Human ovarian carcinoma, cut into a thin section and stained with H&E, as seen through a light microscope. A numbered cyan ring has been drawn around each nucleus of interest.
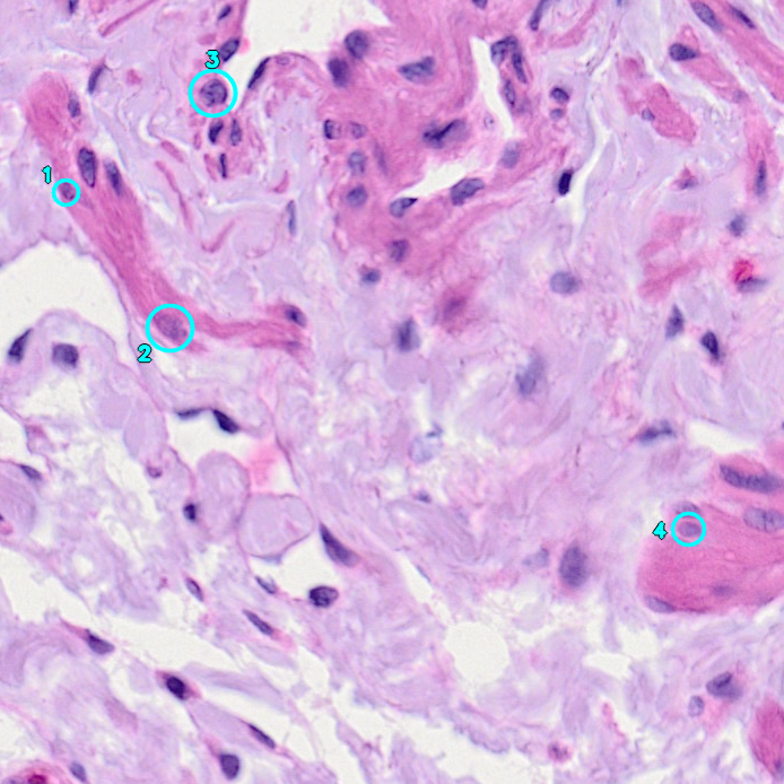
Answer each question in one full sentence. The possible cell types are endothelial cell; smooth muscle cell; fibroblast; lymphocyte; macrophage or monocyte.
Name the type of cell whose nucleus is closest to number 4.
The nearest nucleus to number 4 belongs to a smooth muscle cell.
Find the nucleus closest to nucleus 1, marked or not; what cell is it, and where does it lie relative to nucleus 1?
Just above and to the right of nucleus 1 lies the nearest nucleus, which belongs to a smooth muscle cell.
